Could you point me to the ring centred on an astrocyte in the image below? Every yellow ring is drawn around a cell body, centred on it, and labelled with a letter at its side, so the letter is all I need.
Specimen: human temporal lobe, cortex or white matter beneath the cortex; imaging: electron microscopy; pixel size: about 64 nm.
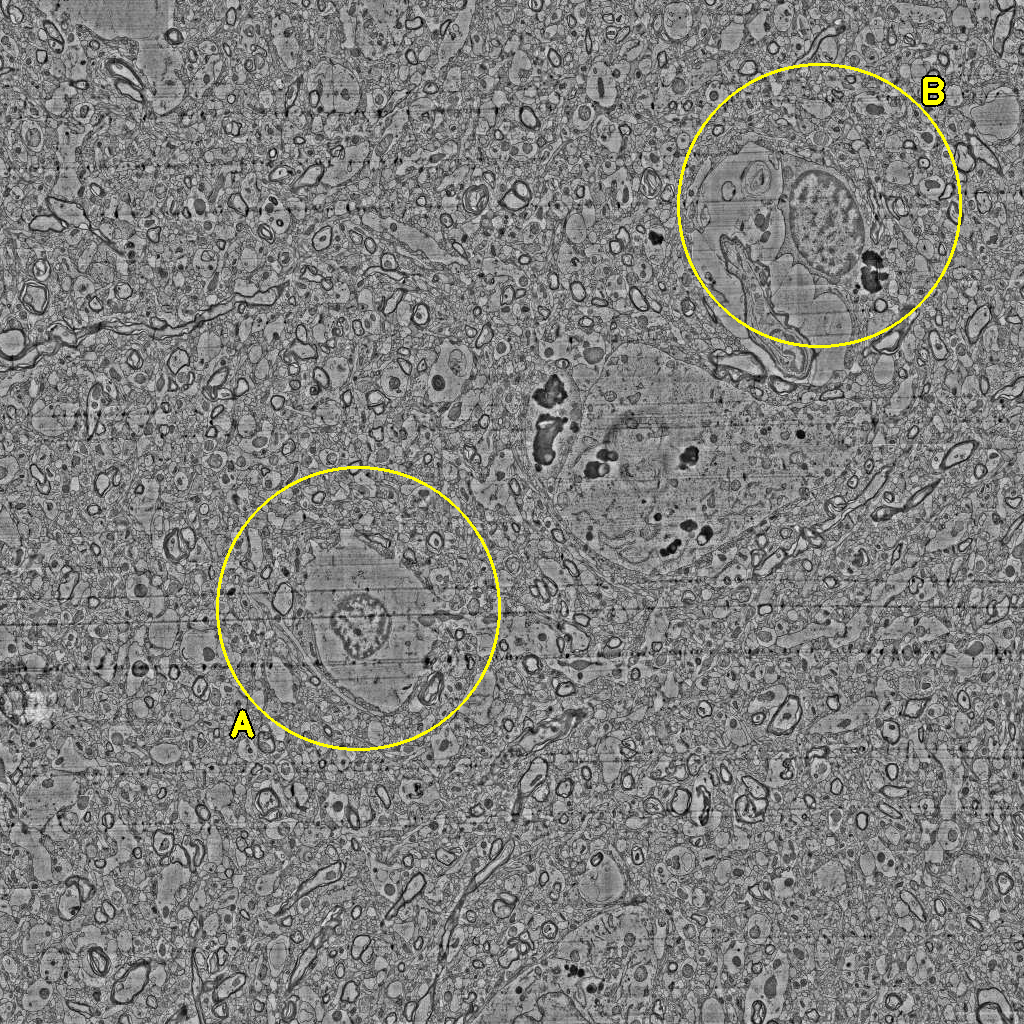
A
